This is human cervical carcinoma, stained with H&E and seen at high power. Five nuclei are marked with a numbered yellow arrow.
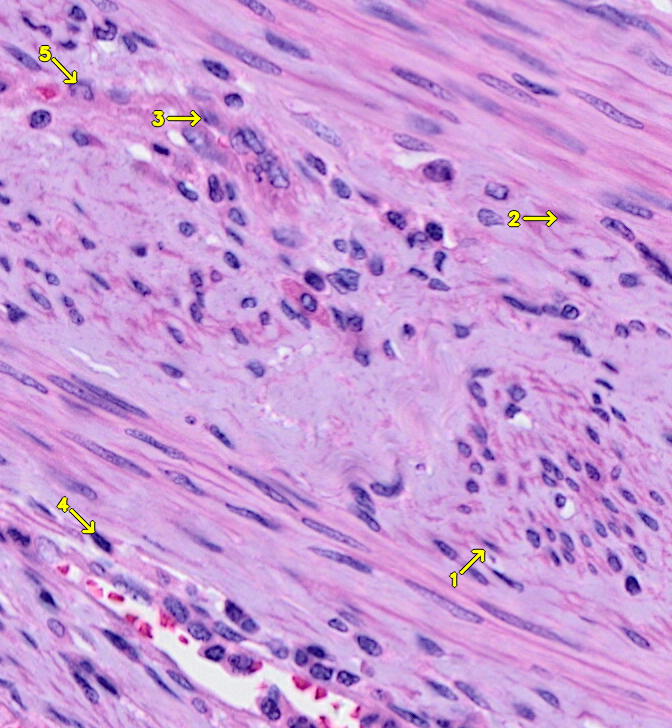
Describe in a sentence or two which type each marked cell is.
Cell 1 is a smooth muscle cell, cell 2 is a smooth muscle cell, cell 3 is an endothelial cell, cell 4 is a lymphocyte and cell 5 is an endothelial cell.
